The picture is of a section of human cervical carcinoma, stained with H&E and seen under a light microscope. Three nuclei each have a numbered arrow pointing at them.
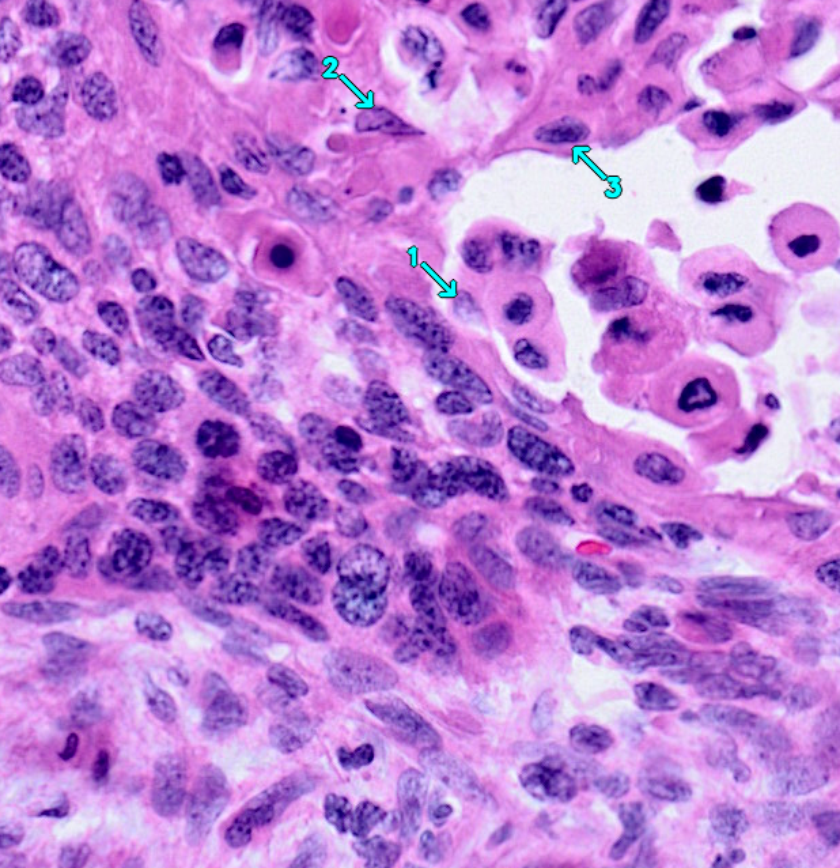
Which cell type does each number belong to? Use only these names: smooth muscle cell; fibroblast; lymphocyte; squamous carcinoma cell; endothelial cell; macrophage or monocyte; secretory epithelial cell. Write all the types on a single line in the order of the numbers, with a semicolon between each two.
squamous carcinoma cell; macrophage or monocyte; squamous carcinoma cell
